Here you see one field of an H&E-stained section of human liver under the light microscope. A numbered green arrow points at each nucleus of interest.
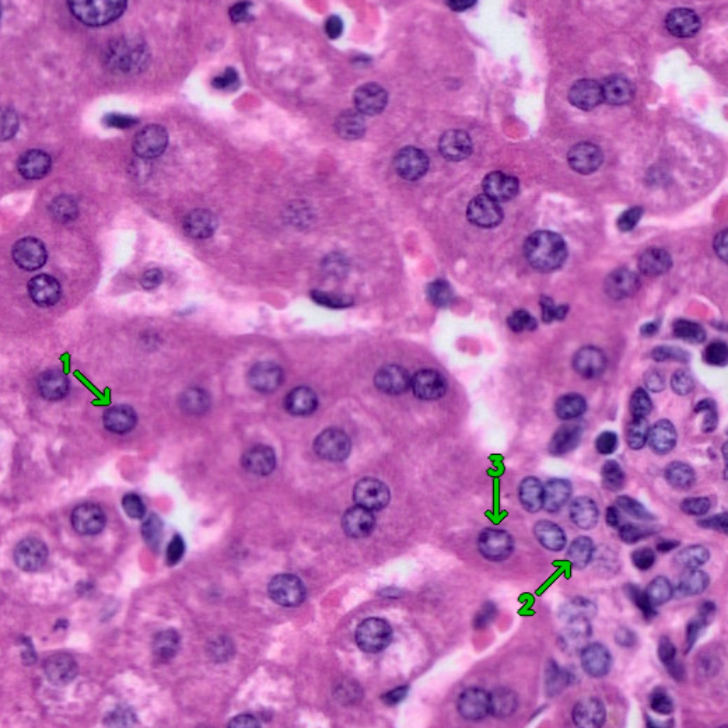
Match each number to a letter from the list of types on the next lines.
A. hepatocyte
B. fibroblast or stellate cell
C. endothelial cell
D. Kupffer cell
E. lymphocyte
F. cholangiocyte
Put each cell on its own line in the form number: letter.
1: A
2: F
3: A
